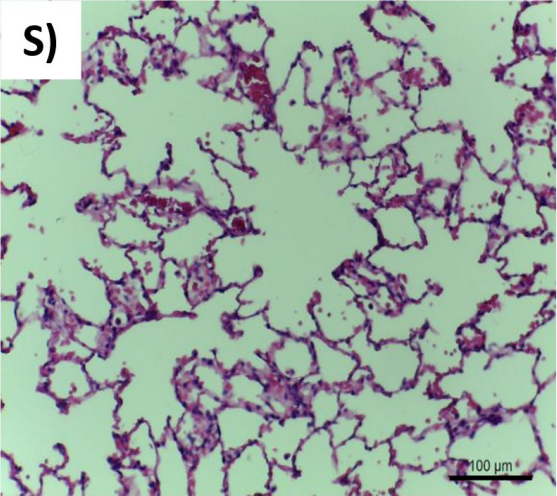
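This is lung tissue in which the alveolar spaces are widened into large, irregular air spaces bordered by thin pink septa with scattered purple nuclei. Some septa look interrupted, so neighbouring spaces run together, and small vessels filled with red blood cells lie in thicker septal areas.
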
